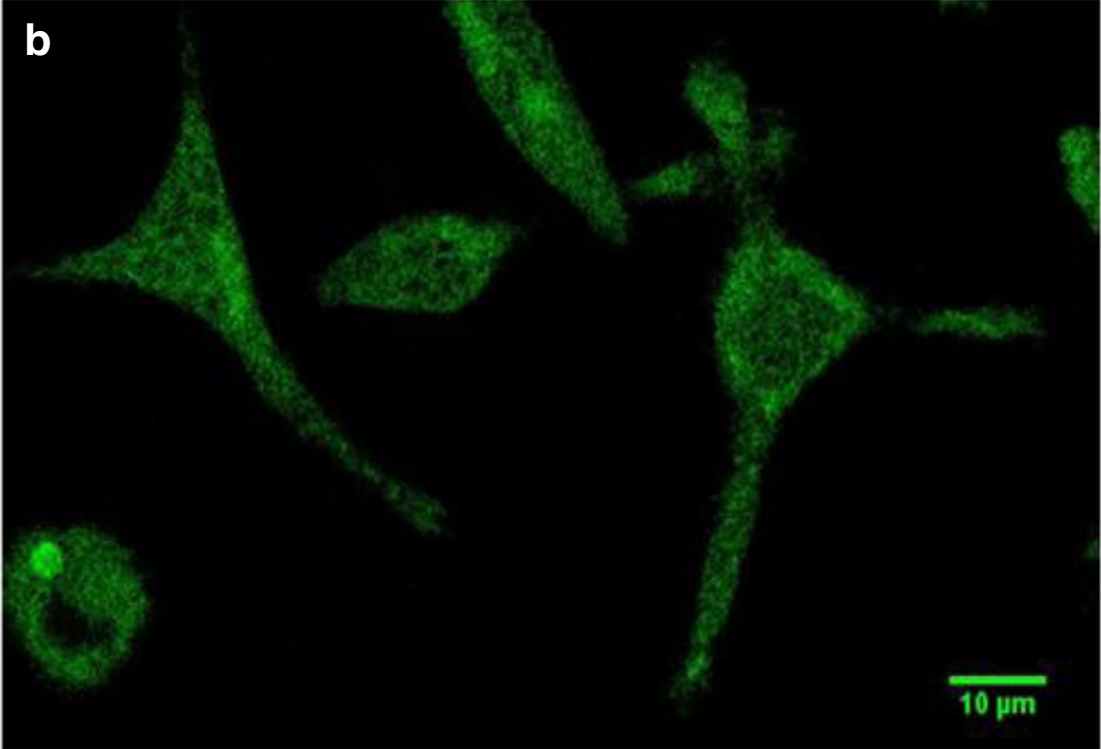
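The cells vary a great deal in shape. Some are triangular or spindle-shaped, with long tapering extensions running out across the dark background. In the lower left corner a rounded cell shows a ring of green around a darker core, with one bright, dense green spot at its edge. The speckled green texture fills most of each cell body and extends into the extensions. The cells lie apart from one another, separated by empty dark space.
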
